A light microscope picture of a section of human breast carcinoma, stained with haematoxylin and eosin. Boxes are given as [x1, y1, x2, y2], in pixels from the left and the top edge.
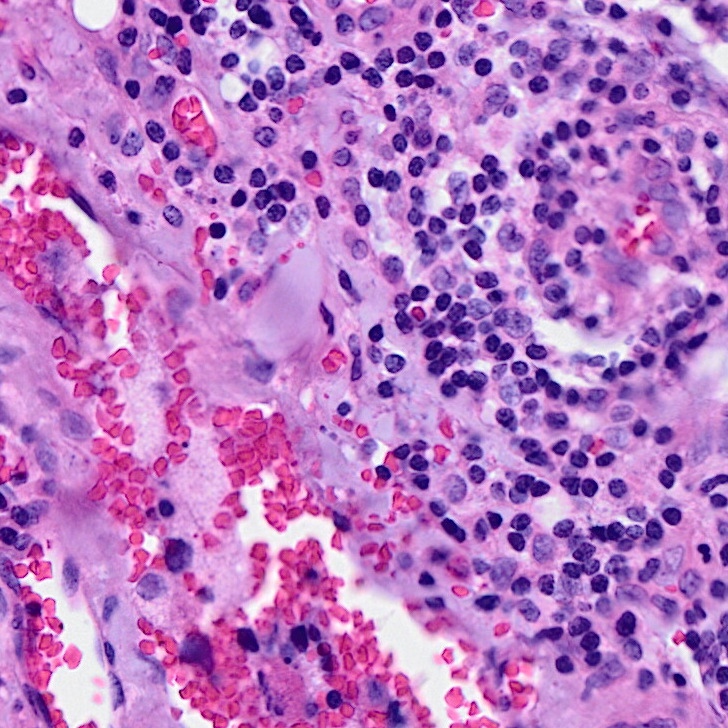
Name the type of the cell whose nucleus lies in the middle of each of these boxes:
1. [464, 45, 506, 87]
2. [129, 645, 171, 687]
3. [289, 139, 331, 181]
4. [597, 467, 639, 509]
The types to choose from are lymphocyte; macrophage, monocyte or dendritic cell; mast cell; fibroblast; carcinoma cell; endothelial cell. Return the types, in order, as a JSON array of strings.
["lymphocyte", "endothelial cell", "lymphocyte", "lymphocyte"]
